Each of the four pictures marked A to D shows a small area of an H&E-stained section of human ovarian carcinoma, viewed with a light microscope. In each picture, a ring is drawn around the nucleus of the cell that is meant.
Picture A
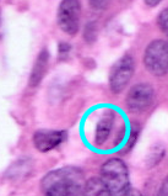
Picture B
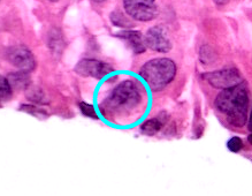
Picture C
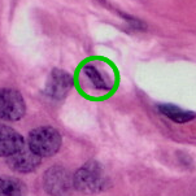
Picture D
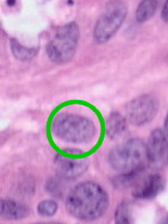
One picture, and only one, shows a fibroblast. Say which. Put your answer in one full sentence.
It is picture C that shows the fibroblast.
